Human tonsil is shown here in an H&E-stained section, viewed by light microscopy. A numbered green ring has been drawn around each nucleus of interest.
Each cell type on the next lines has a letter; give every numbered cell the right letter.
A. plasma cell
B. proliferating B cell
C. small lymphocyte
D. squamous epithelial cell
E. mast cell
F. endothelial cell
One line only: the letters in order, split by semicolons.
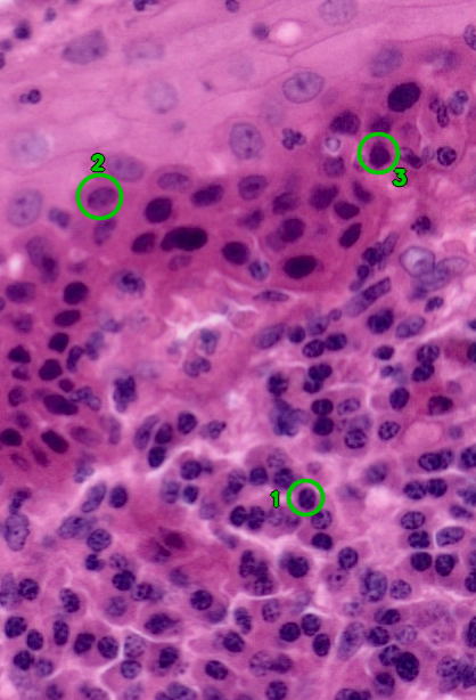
A; D; D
